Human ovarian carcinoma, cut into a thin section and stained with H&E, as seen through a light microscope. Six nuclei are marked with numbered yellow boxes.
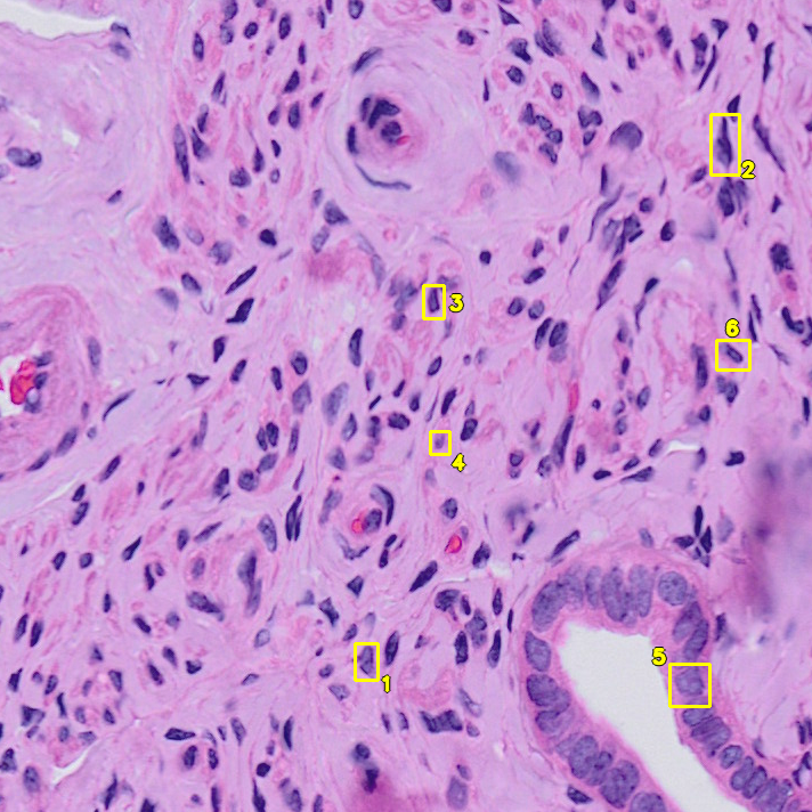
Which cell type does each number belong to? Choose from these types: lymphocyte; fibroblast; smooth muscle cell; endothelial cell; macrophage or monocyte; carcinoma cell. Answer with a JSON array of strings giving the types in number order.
["smooth muscle cell", "fibroblast", "smooth muscle cell", "smooth muscle cell", "carcinoma cell", "smooth muscle cell"]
